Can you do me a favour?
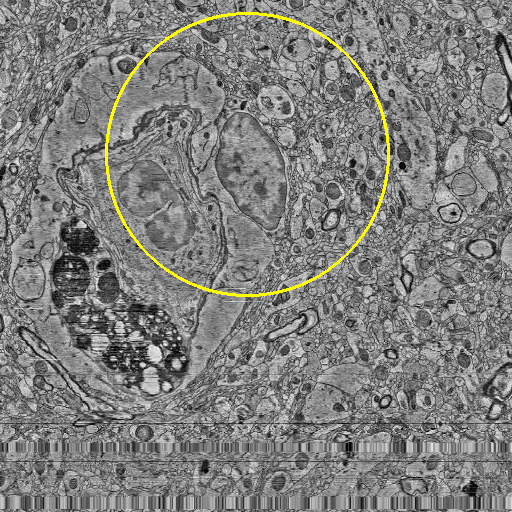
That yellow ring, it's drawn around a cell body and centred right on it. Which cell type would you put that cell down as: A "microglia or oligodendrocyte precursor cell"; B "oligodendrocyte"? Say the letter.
A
